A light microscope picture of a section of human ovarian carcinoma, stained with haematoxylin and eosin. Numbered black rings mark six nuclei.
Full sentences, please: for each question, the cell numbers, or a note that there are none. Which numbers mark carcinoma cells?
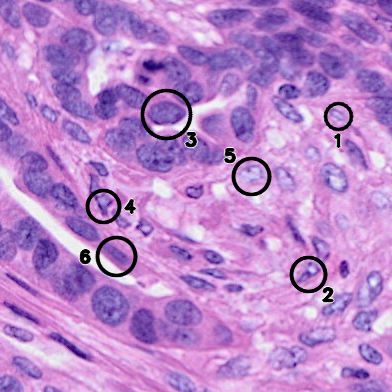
The cells with the numbers 3 and 6 are carcinoma cells.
